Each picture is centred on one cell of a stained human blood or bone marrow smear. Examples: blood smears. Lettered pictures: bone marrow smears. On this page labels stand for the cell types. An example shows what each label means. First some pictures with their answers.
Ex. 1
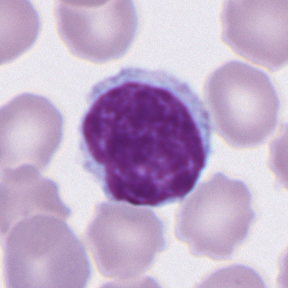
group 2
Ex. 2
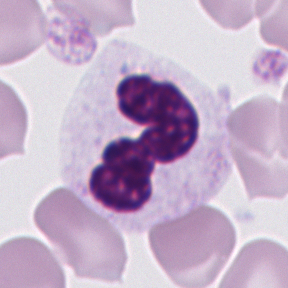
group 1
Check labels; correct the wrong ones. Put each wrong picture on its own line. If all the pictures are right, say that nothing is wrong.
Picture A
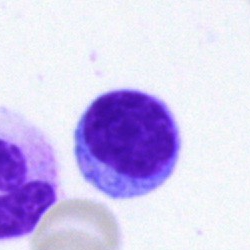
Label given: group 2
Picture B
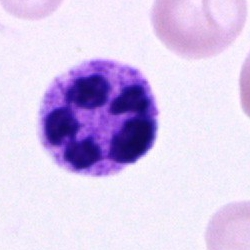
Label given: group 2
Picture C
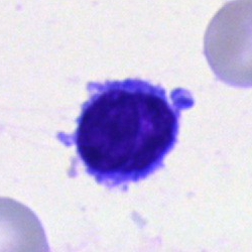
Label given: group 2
B is labelled group 2; correct label: group 1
